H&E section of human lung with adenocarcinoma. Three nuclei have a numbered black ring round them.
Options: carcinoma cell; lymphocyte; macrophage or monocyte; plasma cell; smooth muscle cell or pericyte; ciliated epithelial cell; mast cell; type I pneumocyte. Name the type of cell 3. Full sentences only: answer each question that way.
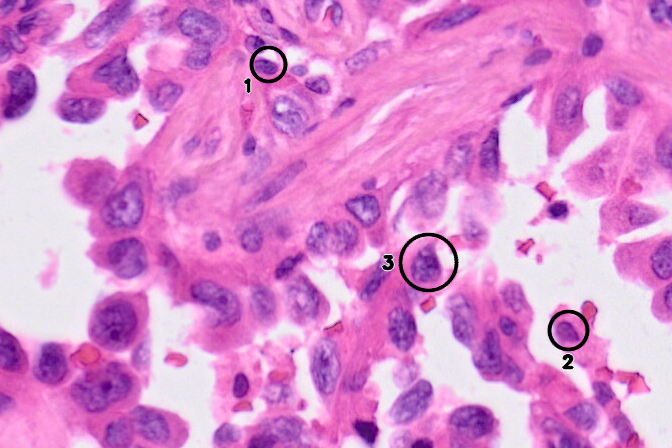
Here the cell numbered 3 is a carcinoma cell.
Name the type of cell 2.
The cell that bears the number 2 is a macrophage or monocyte.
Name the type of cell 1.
Among the marked cells, number 1 is a lymphocyte.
